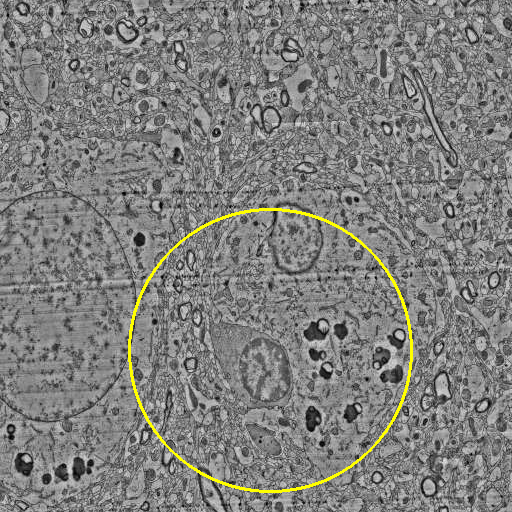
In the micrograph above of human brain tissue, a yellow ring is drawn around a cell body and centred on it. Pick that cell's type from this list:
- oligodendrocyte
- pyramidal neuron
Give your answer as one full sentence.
Going by the list, an oligodendrocyte is the cell on which the yellow ring is centred.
